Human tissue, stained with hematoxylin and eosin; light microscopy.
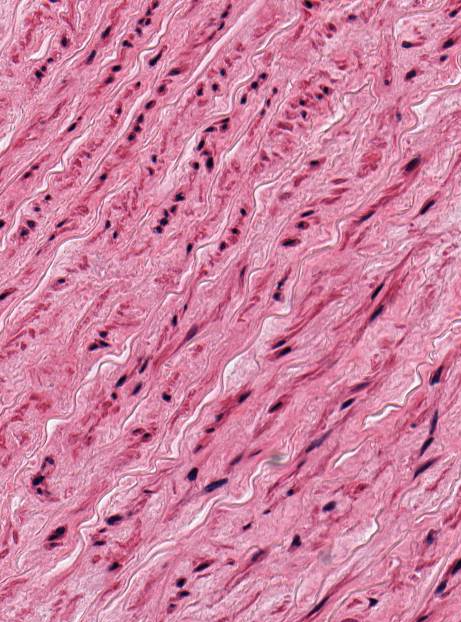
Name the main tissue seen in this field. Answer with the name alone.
tunica media of an artery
